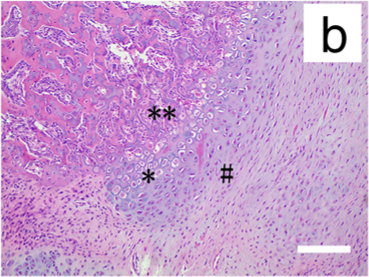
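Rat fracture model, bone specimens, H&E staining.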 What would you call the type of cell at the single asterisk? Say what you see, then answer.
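Rounded cells in lacunae lie in a pale bluish-purple matrix. This area borders a zone of flattened spindle cells.
Hence: chondrocytes.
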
